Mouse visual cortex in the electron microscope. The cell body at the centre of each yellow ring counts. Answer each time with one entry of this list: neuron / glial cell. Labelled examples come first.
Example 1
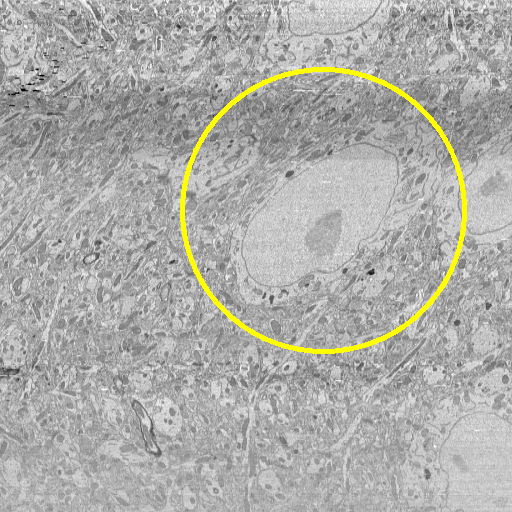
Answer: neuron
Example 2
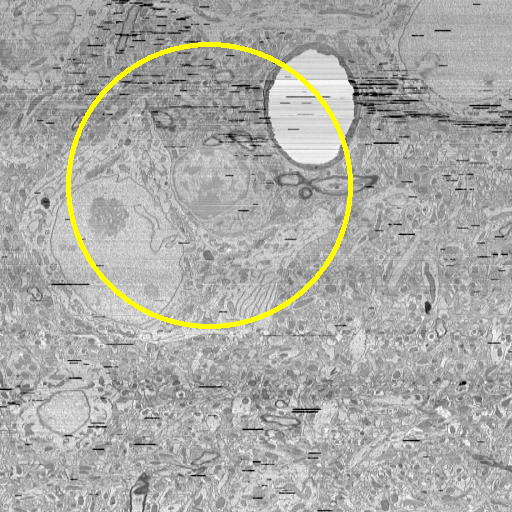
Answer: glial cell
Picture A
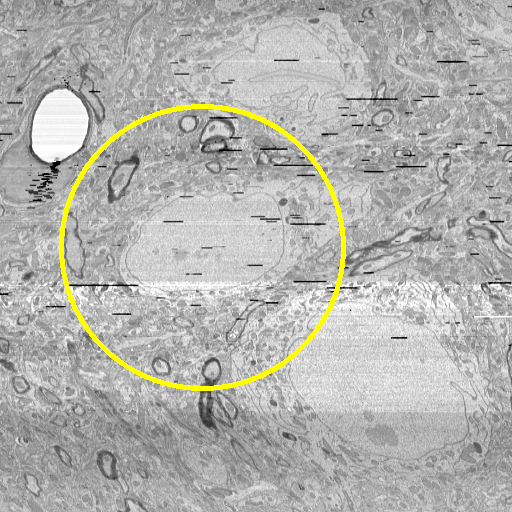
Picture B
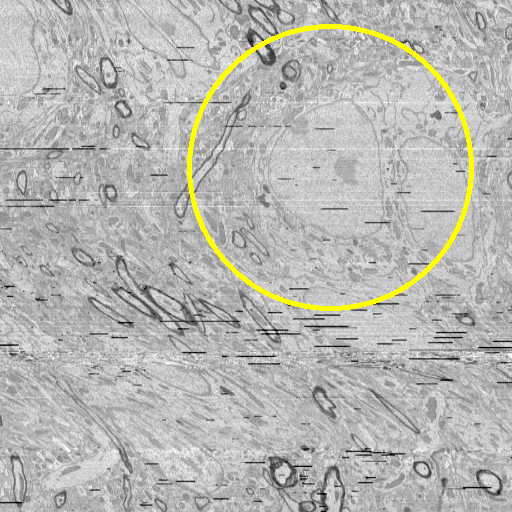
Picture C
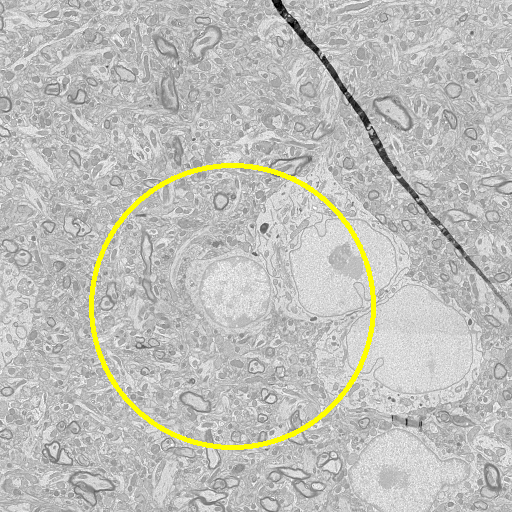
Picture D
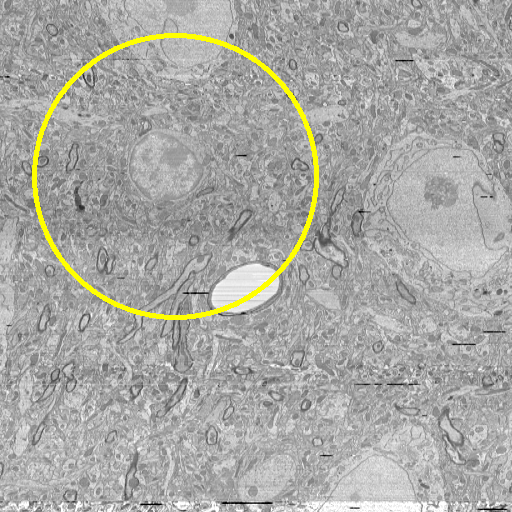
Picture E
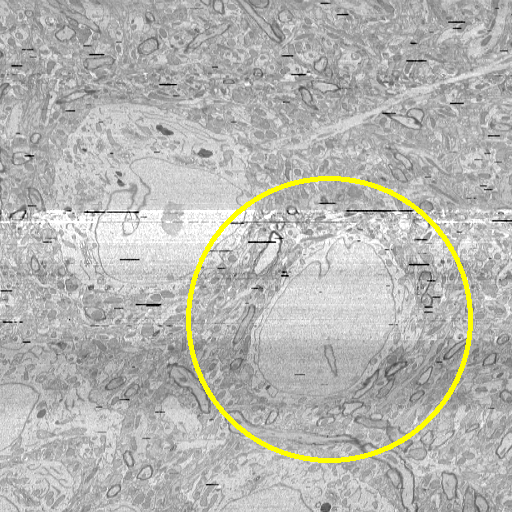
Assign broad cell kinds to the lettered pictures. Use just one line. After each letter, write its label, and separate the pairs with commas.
A neuron, B neuron, C glial cell, D glial cell, E neuron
